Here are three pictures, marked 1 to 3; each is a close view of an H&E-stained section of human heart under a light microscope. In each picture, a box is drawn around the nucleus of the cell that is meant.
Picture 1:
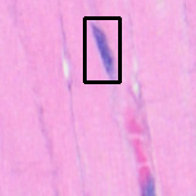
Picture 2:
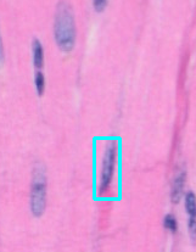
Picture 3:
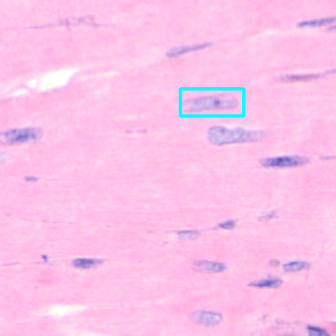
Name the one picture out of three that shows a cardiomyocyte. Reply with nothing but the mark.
3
